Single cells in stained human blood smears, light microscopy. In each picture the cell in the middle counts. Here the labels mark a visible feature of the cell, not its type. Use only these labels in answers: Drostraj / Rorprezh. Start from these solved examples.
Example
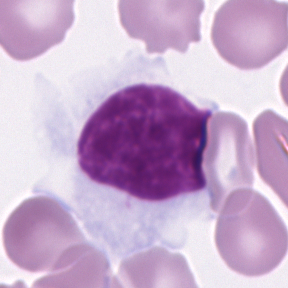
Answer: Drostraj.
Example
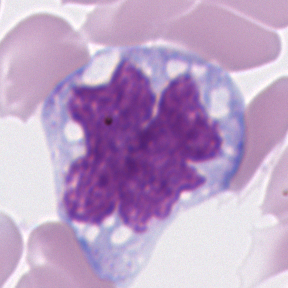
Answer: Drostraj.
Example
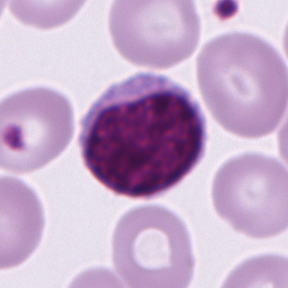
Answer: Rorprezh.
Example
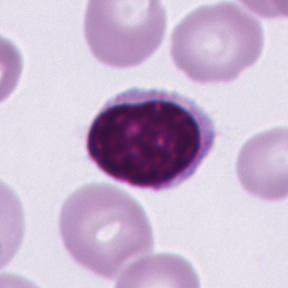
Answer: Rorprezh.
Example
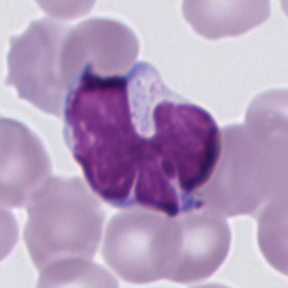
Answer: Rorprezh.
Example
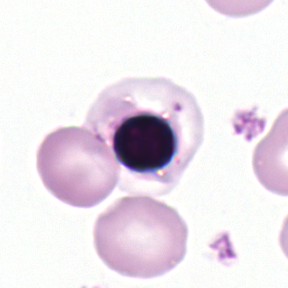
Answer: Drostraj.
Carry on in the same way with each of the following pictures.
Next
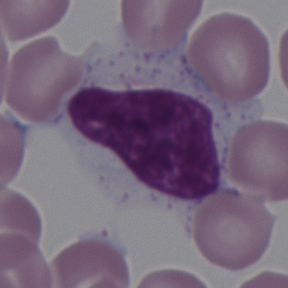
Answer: Drostraj.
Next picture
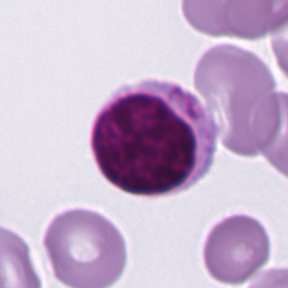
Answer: Rorprezh.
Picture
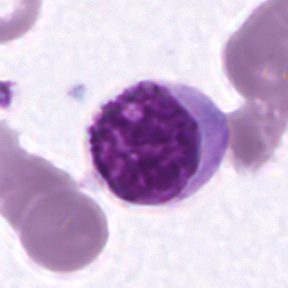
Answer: Rorprezh.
